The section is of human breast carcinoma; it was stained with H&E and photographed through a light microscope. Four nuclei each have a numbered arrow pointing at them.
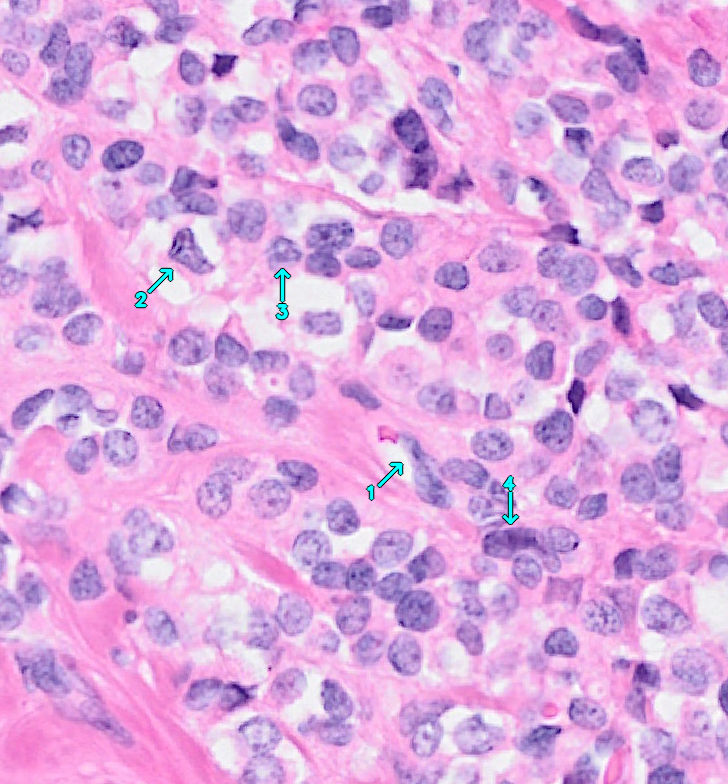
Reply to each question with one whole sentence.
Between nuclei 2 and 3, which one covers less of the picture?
Nucleus 3 is the smaller one; nucleus 2 covers about 1.5 times its area.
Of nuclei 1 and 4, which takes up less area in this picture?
It is nucleus 1; nucleus 4 has about 2.5 times its area.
